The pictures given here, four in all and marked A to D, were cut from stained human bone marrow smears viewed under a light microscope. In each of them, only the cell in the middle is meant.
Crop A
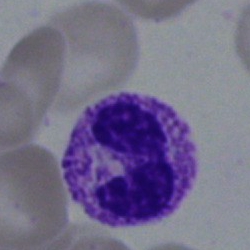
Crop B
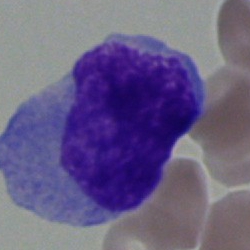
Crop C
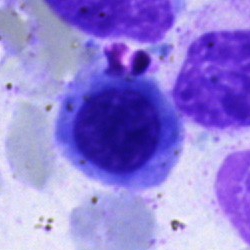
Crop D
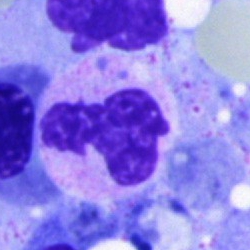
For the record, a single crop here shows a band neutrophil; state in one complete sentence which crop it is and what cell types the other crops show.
Crop A corresponds to a band neutrophil, whereas crop B is a blast, crop C is an erythroblast and crop D is a segmented neutrophil.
